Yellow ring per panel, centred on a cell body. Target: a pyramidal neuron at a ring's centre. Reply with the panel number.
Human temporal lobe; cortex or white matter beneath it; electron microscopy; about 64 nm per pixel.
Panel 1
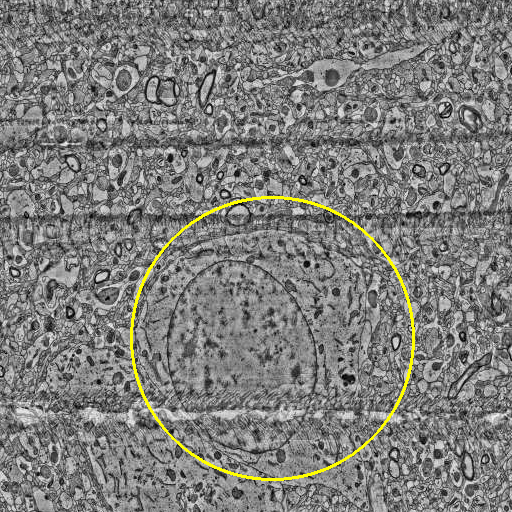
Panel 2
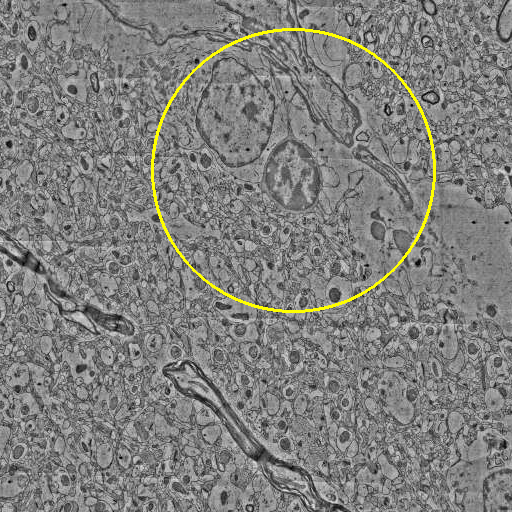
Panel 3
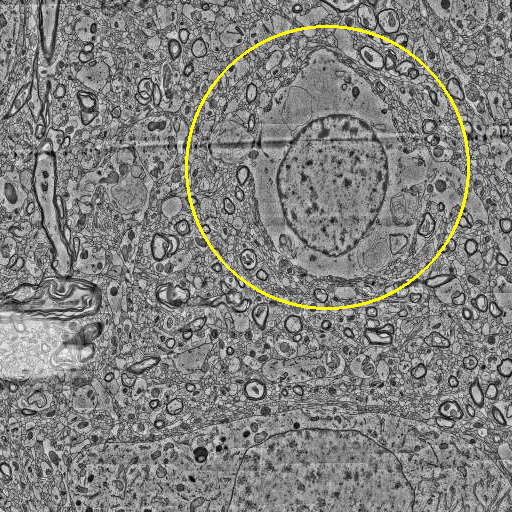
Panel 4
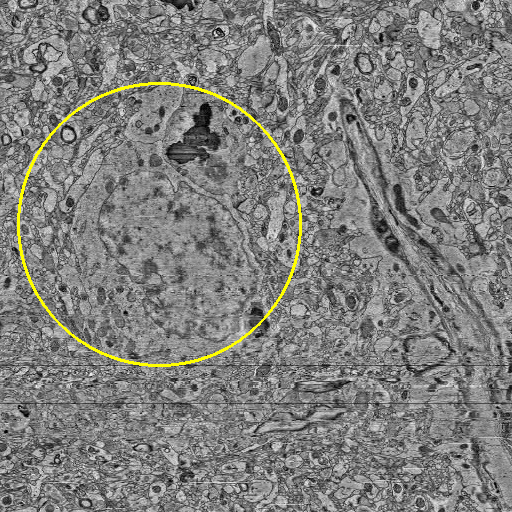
1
